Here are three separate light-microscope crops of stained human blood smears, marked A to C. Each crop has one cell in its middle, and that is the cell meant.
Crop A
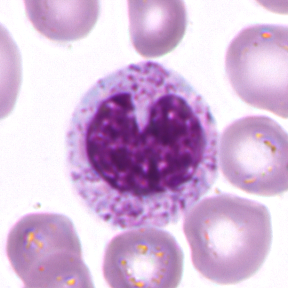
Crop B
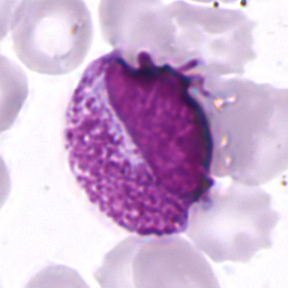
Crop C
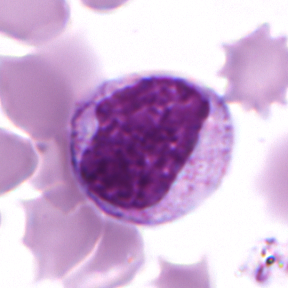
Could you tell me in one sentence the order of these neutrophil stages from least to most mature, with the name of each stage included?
Along the maturation pathway, from earliest to latest, the order is crop B (a myelocyte), crop C (a metamyelocyte) and crop A (a band neutrophil).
